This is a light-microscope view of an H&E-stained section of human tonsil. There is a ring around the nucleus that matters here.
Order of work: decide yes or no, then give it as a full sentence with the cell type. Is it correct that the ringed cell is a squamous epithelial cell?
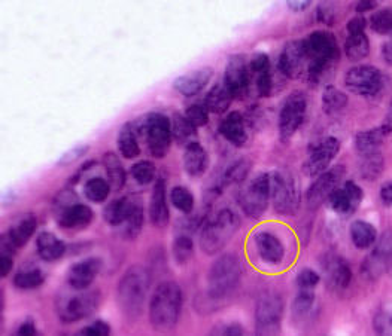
Yes, the identity of the ringed cell is that of a squamous epithelial cell.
